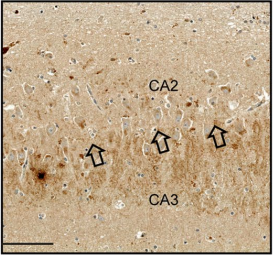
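This enlarged view of the hippocampus shows a band of large, pale cell bodies lying in a granular brown-stained neuropil. The brown staining is densest as a horizontal band in the lower half of the field, while the upper part is paler. Open arrows point along the junction between two hippocampal regions, and a single intensely dark brown spot lies at the lower left.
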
